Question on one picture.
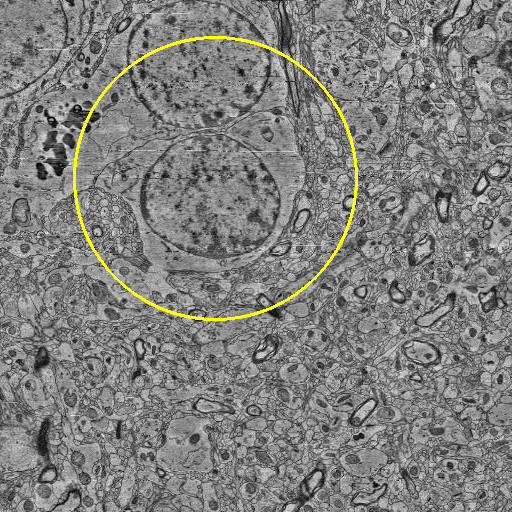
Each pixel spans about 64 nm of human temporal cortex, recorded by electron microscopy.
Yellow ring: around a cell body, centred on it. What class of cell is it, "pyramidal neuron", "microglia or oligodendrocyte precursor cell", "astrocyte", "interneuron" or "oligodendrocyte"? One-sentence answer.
This is an astrocyte, the cell the ring is centred on.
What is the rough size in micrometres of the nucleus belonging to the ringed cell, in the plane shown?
The nucleus is about 8 micrometres across in this plane.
